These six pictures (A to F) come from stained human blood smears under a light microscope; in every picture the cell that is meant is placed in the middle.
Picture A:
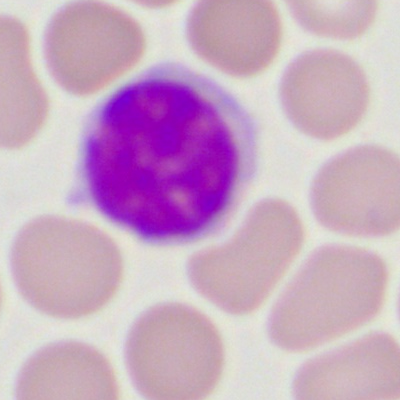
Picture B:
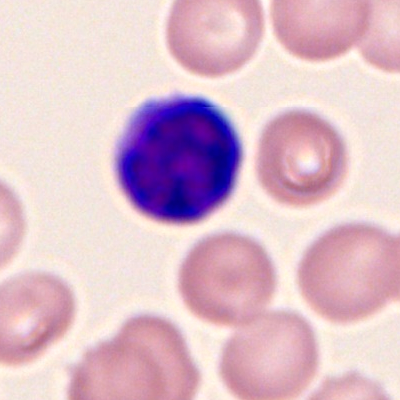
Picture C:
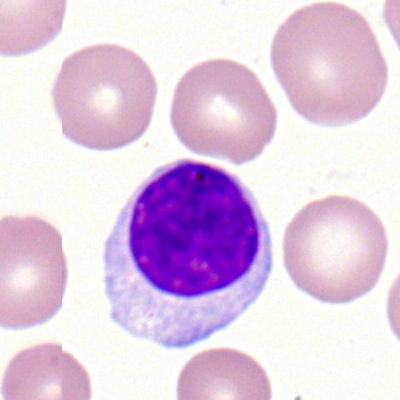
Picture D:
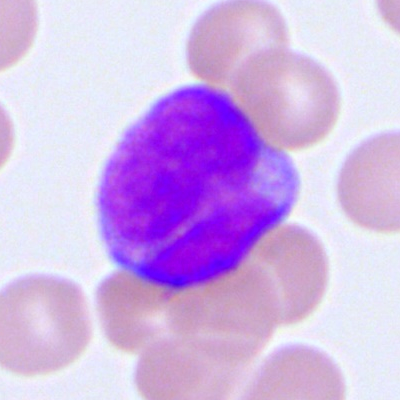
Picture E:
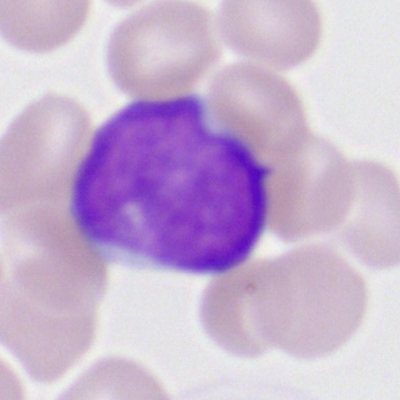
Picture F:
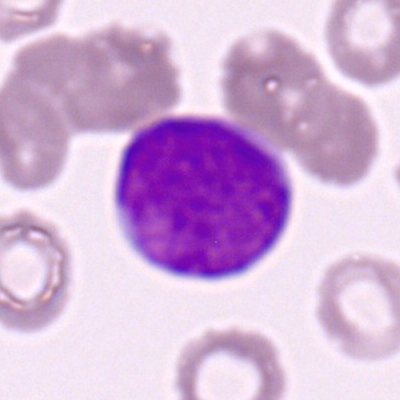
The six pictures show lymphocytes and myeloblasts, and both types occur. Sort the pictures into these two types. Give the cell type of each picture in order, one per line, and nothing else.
lymphocyte
lymphocyte
lymphocyte
myeloblast
myeloblast
myeloblast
